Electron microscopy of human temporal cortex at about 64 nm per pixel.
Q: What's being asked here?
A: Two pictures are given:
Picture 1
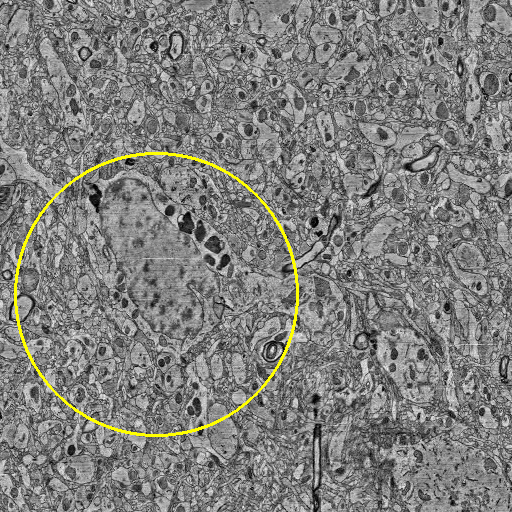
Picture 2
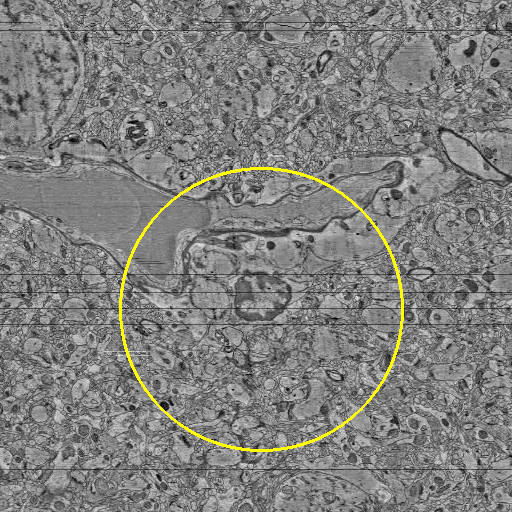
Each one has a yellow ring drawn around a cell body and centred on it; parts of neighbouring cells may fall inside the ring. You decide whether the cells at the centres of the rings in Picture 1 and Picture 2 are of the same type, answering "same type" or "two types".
two types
